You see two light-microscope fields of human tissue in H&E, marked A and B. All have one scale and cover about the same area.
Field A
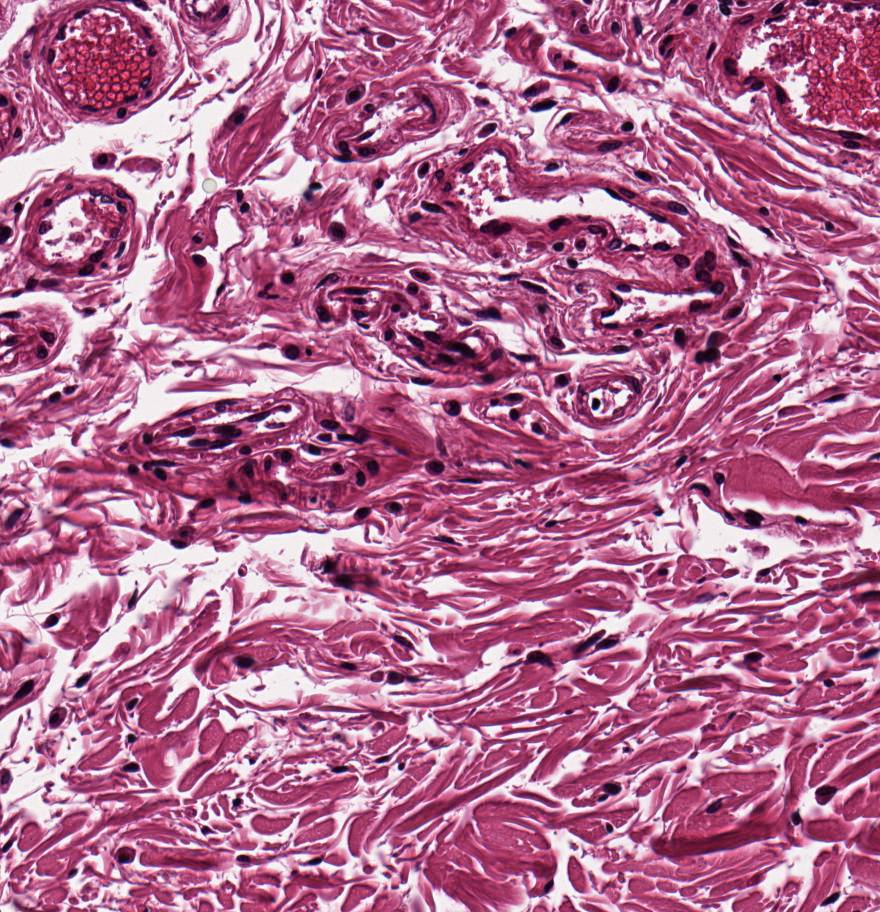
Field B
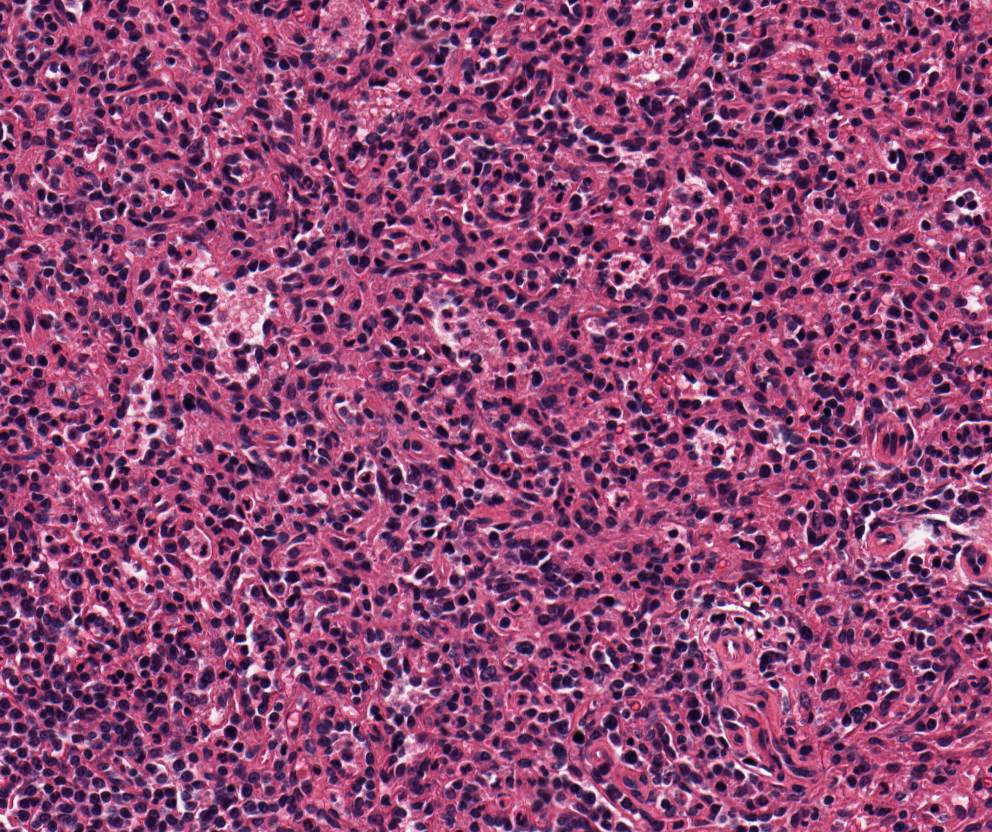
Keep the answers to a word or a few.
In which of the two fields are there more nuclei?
B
